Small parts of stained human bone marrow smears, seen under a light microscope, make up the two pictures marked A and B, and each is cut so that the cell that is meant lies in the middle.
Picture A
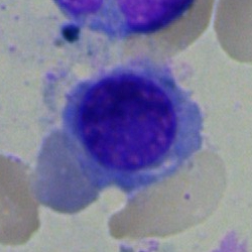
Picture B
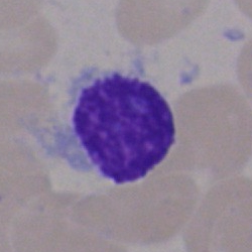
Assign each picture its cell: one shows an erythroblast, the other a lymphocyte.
A: erythroblast
B: lymphocyte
